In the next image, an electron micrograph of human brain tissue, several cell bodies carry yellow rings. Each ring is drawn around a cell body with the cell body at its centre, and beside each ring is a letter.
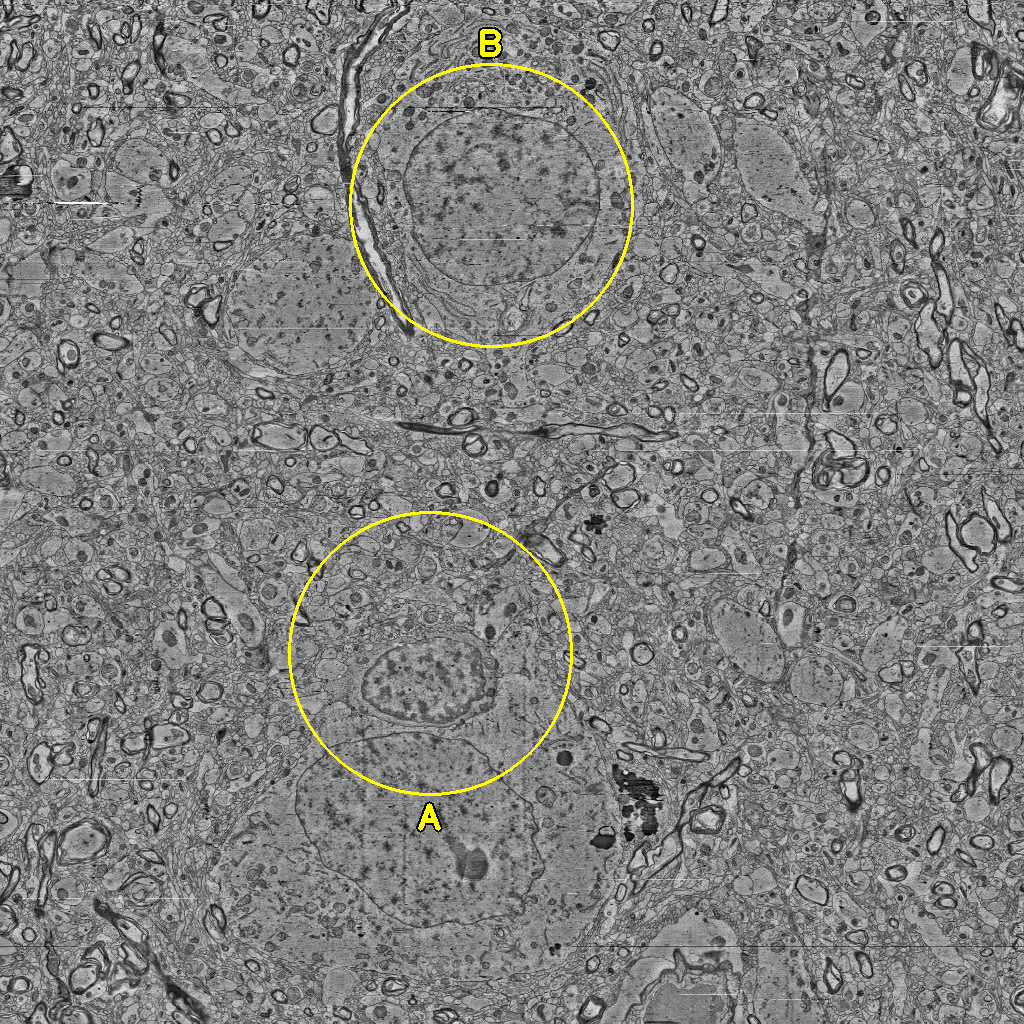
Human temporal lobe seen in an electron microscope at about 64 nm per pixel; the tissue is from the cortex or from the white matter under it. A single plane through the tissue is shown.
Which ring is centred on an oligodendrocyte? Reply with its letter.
A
